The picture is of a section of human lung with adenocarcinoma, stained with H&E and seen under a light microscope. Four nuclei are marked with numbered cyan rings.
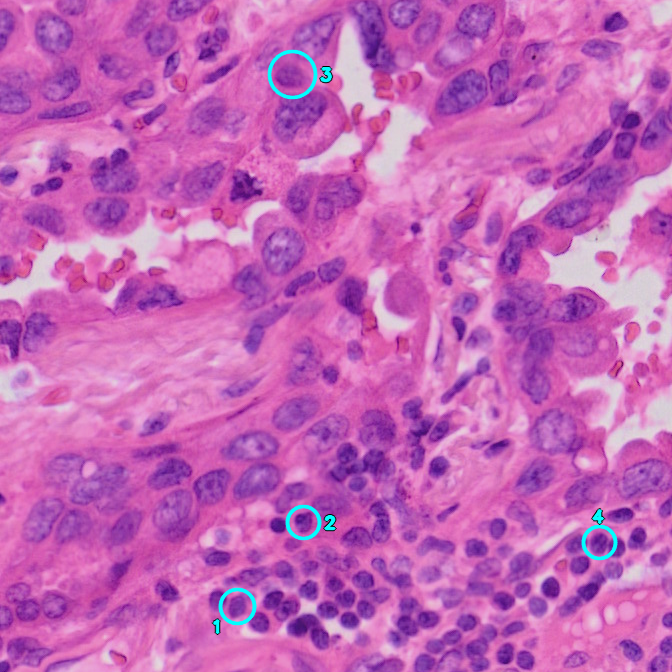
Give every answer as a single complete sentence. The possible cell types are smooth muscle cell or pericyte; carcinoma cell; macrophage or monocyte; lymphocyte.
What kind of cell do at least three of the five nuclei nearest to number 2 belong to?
Most of the five nuclei nearest to number 2 are those of macrophages or monocytes.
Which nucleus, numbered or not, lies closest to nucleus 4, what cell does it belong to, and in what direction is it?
The closest nucleus belongs to a lymphocyte and sits to the right of nucleus 4.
